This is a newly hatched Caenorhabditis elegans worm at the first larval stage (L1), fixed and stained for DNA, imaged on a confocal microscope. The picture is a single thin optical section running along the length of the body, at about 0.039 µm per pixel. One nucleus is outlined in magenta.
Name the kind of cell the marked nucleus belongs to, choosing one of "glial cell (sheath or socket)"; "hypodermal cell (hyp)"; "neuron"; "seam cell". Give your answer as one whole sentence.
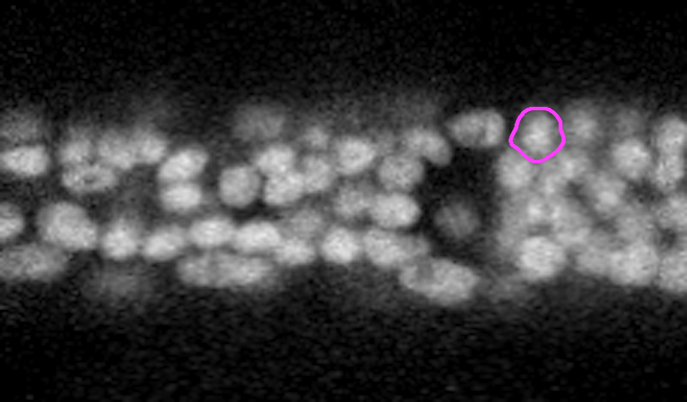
The marked nucleus is that of a neuron.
